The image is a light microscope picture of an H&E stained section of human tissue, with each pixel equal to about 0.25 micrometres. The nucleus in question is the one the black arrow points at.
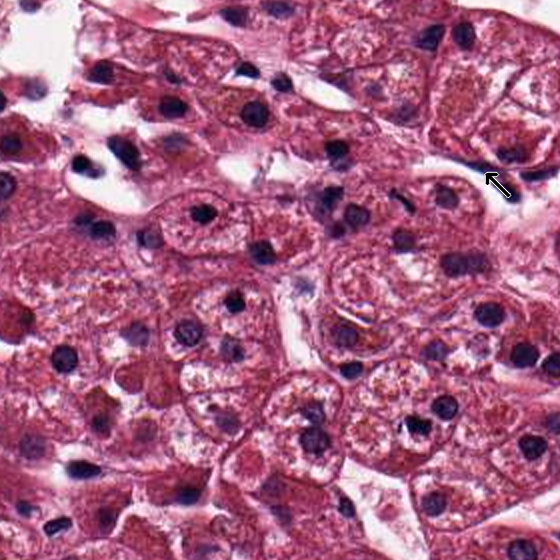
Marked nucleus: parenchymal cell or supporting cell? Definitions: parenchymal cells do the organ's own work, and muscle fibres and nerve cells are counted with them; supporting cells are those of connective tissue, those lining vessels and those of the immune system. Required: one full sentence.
The marked nucleus is the nucleus of a supporting cell in this section.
